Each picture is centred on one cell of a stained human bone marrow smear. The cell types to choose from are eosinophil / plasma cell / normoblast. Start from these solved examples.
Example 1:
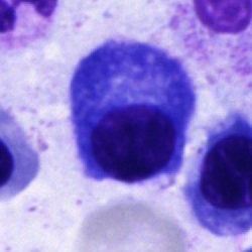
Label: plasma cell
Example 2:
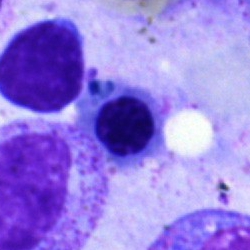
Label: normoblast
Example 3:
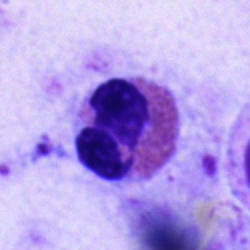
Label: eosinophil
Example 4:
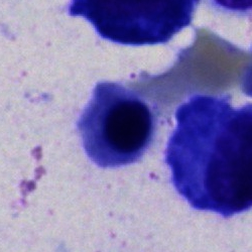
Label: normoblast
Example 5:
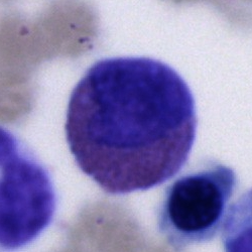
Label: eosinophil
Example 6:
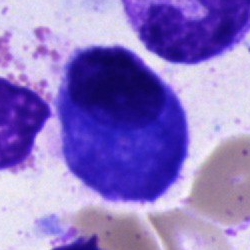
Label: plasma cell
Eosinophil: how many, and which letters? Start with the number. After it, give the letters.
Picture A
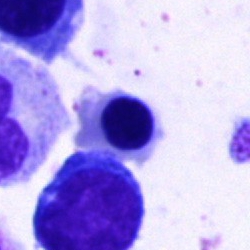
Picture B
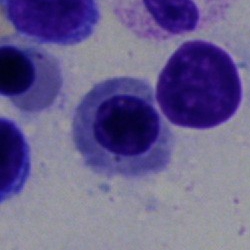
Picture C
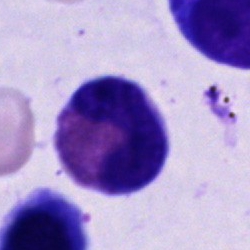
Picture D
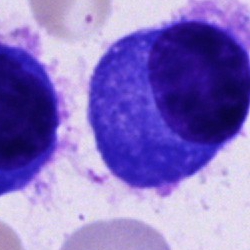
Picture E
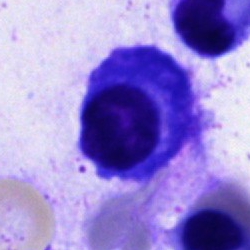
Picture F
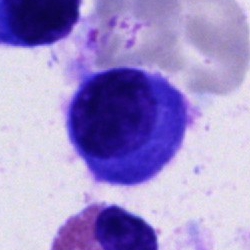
1, namely C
